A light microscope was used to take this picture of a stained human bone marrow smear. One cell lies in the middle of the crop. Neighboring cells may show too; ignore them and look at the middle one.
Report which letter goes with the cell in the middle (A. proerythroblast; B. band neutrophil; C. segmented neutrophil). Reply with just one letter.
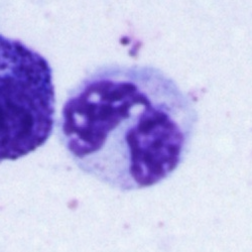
C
